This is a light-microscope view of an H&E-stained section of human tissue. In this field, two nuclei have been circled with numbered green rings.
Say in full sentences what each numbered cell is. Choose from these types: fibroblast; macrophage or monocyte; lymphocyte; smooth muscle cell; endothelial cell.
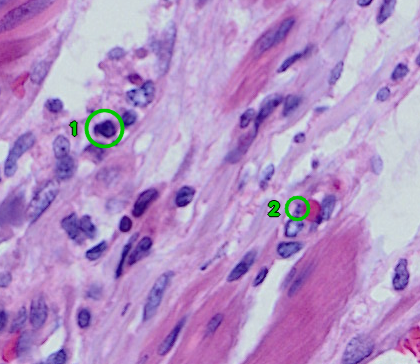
Cell 1 is a lymphocyte. Cell 2 is an endothelial cell.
